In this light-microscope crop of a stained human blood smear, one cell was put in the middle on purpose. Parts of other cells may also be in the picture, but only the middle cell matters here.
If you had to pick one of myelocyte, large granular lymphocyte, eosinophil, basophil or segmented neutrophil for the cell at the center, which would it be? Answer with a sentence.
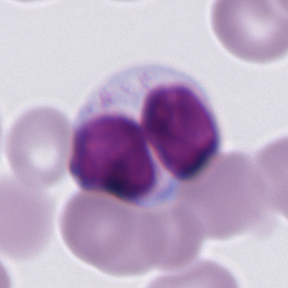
The cell centered in this field of view is a large granular lymphocyte.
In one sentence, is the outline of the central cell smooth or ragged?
You can see a smooth boundary, with no projections sticking out.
